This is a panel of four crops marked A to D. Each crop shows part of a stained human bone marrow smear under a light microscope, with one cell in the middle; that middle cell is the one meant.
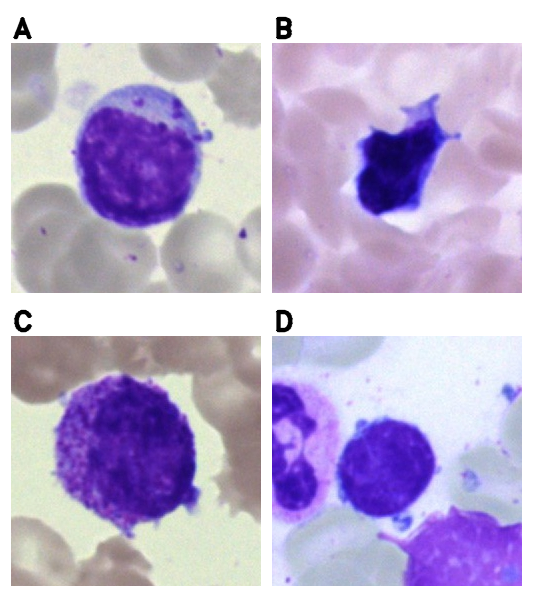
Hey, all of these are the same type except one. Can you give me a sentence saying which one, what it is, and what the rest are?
A different cell type, a blast, occupies crop C; the other crops show lymphocytes.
